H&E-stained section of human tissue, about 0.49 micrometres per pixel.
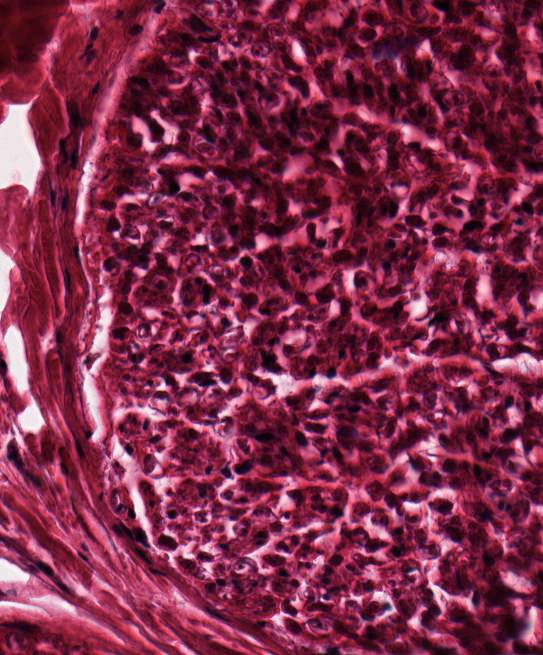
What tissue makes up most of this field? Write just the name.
nerve fascicle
